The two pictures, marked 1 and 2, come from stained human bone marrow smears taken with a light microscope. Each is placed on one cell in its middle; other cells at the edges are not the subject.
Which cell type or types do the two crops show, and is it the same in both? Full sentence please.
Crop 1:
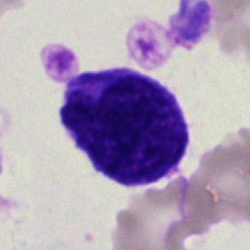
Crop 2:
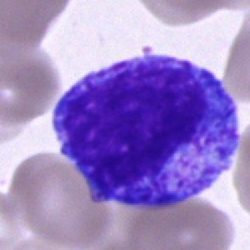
No, the cell of interest in crop 1 is a blast, and in crop 2 it is a promyelocyte.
